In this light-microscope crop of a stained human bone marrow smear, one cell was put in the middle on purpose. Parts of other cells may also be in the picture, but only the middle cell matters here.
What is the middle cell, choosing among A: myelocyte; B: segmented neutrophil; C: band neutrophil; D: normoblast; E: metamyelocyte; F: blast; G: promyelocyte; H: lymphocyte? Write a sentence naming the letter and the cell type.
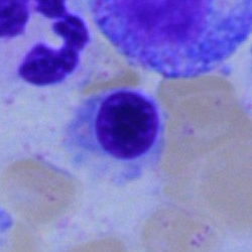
Option D correctly states that the central cell is a normoblast.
